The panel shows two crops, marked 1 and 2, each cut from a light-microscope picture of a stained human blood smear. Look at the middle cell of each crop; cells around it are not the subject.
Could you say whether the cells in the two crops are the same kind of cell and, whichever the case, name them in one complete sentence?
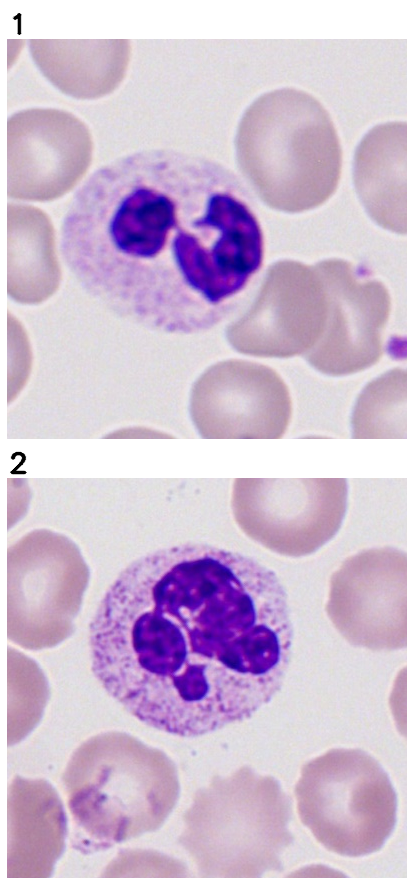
Yes, both crops are centred on cells that are segmented neutrophils.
